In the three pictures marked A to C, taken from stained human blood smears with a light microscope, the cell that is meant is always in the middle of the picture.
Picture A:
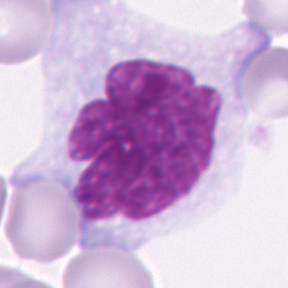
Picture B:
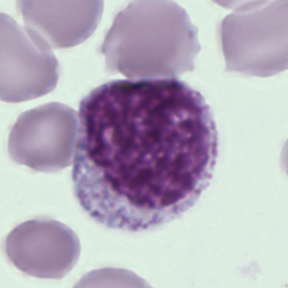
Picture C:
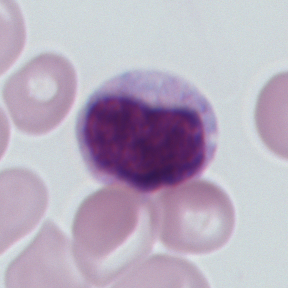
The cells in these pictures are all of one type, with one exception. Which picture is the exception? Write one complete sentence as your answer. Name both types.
Picture A is the odd one out: it shows a monocyte, while the others show metamyelocytes.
